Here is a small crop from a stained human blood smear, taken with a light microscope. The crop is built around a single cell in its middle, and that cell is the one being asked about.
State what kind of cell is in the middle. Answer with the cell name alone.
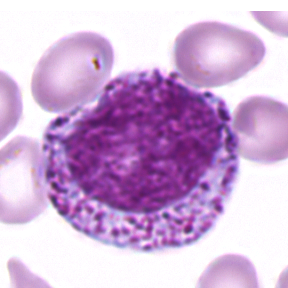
myelocyte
